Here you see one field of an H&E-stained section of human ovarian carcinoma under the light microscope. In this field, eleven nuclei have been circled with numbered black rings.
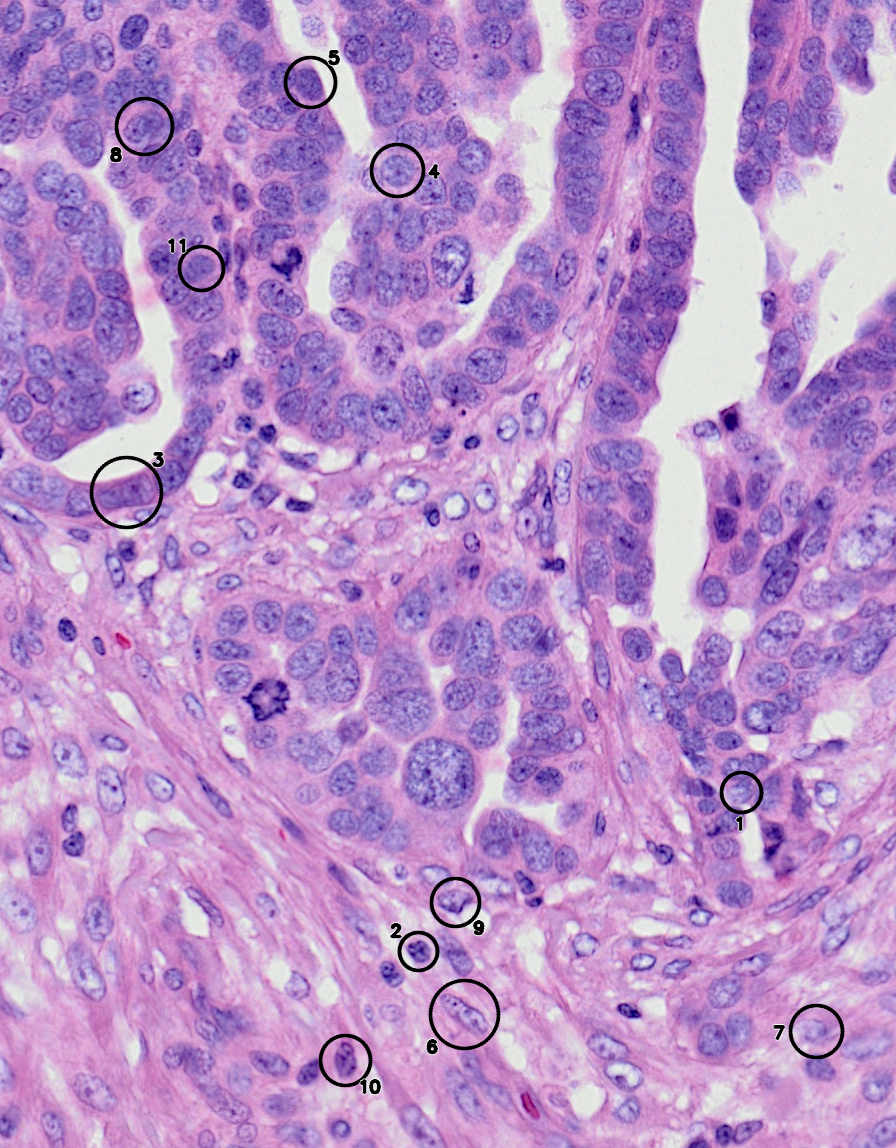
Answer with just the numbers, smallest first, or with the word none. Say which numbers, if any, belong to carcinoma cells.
1, 3, 4, 5, 8, 11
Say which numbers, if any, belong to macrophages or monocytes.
10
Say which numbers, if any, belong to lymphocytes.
2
